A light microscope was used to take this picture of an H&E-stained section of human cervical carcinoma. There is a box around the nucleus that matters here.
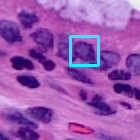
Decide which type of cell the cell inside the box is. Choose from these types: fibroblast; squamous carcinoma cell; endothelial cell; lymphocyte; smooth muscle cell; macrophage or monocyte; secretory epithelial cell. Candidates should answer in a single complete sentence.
Labelled by cell type, the cell inside the box is a secretory epithelial cell.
